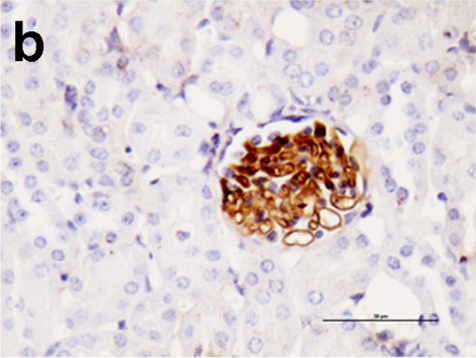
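This is renal cortex with a glomerulus in the centre surrounded by tubules. The glomerular tuft is made of many capillary loops whose walls are stained brown, with some blue nuclei among them. A thin capsule with a clear space encloses the tuft. The tissue around the glomerulus is otherwise orderly, without a dense cellular infiltrate.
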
